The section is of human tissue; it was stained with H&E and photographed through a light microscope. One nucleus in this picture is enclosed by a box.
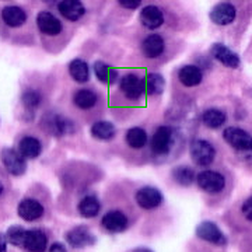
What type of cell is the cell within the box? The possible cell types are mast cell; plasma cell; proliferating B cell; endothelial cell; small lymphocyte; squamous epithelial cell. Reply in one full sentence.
As for its identity, the cell within the box is a plasma cell.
